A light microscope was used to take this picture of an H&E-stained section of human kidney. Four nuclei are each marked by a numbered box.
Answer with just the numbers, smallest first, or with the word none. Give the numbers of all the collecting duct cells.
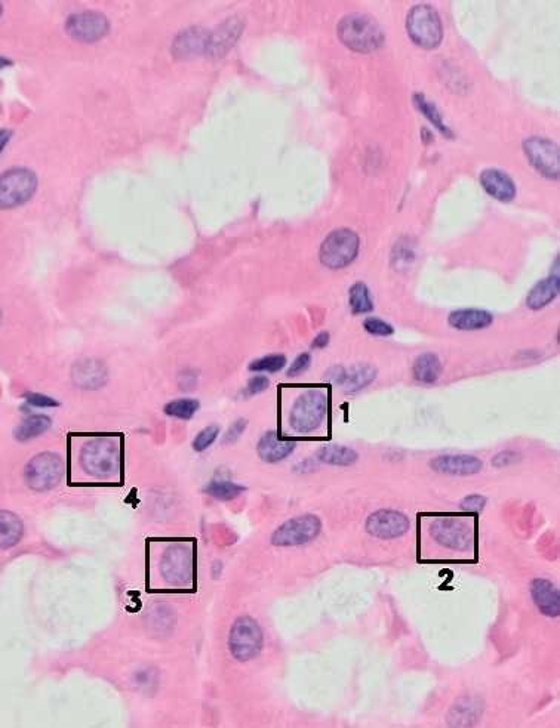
1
